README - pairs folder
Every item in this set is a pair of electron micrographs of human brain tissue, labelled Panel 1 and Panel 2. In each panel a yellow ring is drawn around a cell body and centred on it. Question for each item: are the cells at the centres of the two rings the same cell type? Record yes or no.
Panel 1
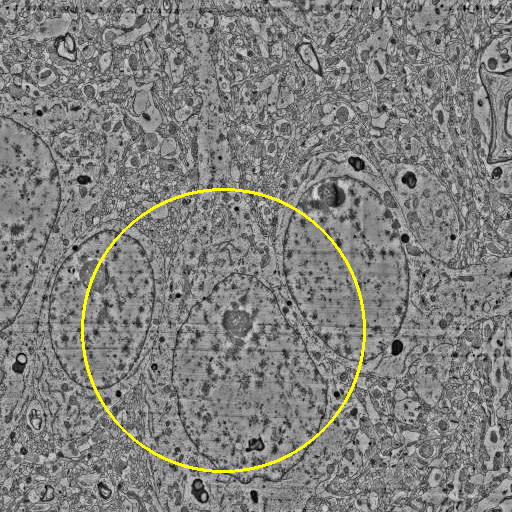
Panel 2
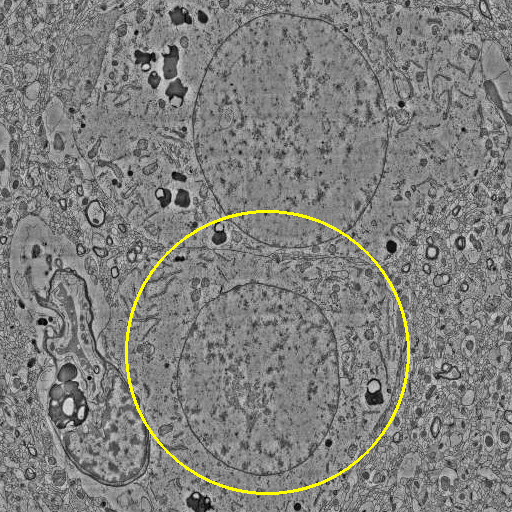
yes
